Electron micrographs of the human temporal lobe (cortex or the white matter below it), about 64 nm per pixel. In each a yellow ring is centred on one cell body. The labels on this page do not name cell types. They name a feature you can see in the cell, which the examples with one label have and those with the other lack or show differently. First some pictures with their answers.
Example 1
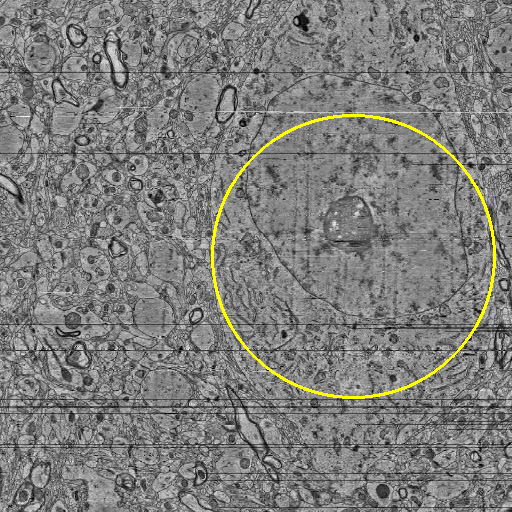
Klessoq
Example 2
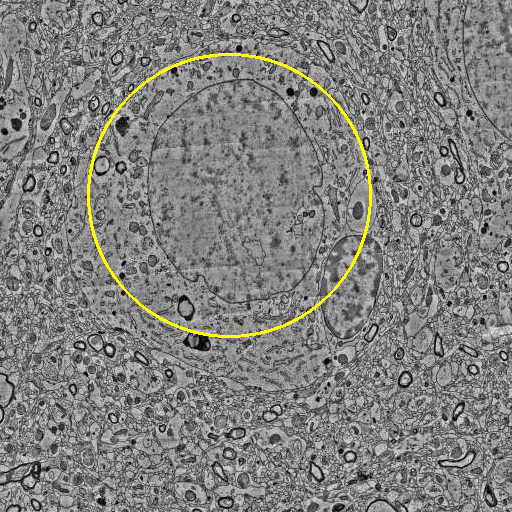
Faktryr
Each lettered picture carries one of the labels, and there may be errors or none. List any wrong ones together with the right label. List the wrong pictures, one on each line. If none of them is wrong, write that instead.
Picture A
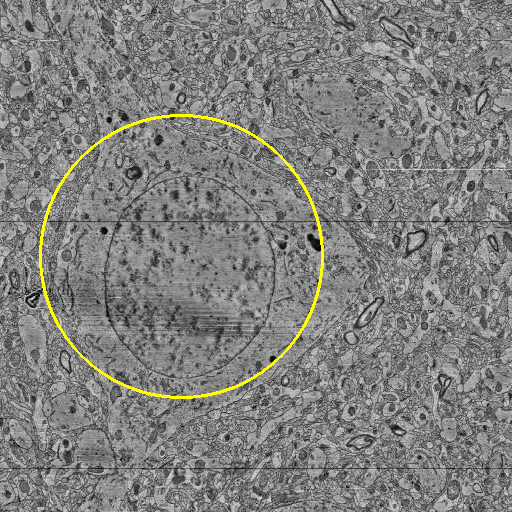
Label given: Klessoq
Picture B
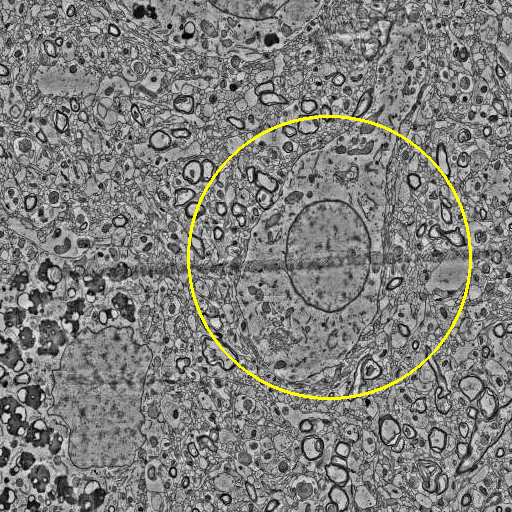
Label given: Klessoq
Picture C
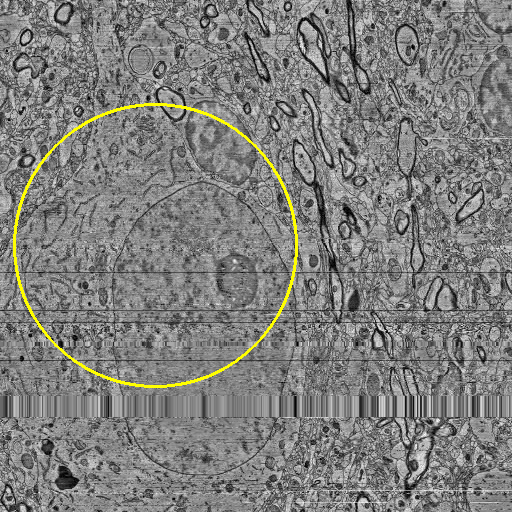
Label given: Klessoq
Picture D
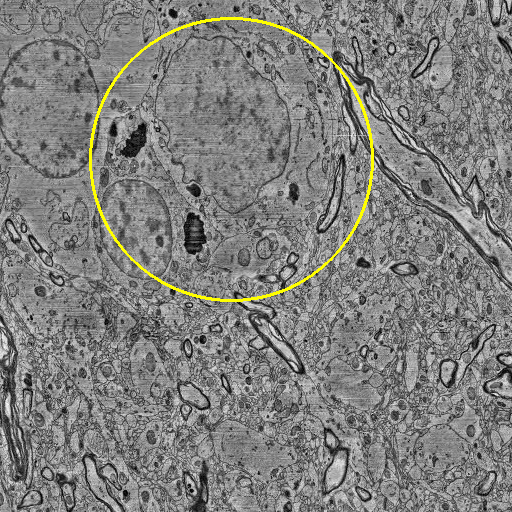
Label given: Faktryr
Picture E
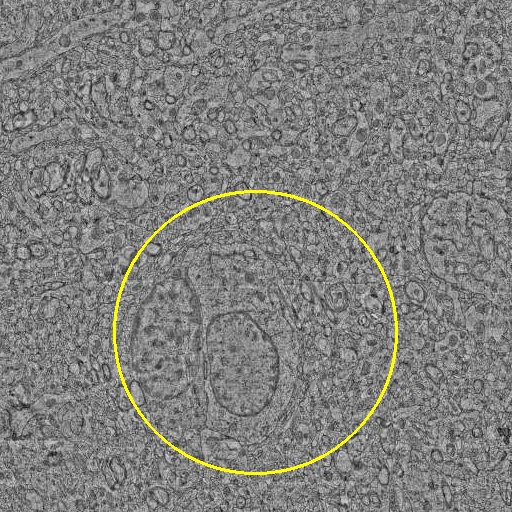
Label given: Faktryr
A should be Faktryr, not Klessoq
B should be Faktryr, not Klessoq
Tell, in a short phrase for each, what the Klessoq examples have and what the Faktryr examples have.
Klessoq: nucleolus seen; Faktryr: no nucleolus seen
